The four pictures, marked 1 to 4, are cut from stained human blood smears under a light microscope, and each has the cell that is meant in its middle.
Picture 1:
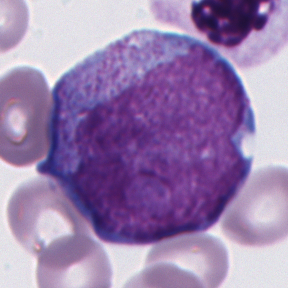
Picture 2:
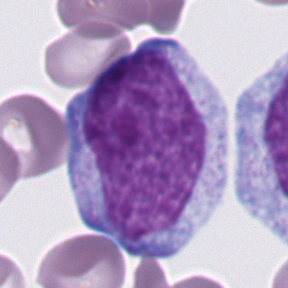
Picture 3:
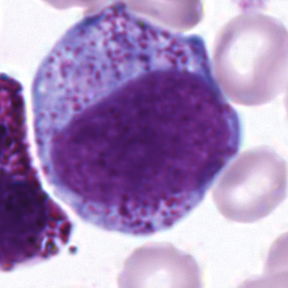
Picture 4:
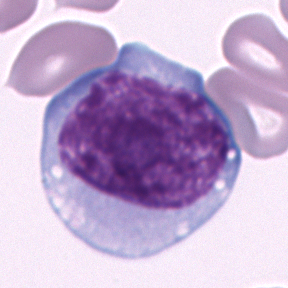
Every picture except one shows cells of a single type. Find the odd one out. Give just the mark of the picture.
4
